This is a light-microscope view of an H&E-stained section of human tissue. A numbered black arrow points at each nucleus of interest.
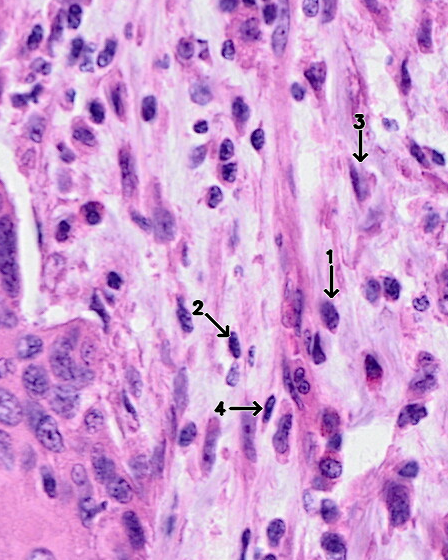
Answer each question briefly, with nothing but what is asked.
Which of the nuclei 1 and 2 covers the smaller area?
2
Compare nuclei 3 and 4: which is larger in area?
3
